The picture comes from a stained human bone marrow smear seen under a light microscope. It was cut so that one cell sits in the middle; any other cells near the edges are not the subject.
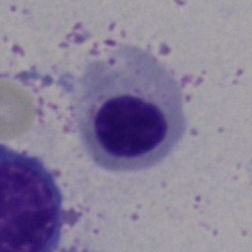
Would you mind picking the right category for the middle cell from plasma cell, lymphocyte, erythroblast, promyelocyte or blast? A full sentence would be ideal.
Of the cells in this crop, the central one is an erythroblast.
